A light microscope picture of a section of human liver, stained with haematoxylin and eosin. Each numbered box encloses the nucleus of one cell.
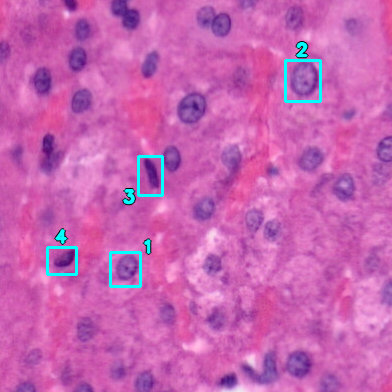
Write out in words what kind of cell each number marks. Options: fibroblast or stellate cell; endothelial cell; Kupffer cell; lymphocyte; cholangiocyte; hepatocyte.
Cells 1 and 2 are hepatocytes. Cells 3 and 4 are fibroblasts or stellate cells.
